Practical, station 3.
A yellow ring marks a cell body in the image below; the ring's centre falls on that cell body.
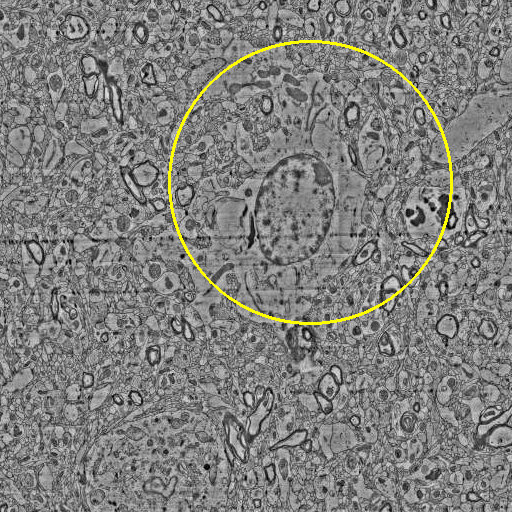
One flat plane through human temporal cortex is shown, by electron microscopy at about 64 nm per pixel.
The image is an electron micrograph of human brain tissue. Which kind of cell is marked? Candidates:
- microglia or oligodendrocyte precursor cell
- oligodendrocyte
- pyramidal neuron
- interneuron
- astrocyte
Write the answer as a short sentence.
The marked cell body is that of an astrocyte.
